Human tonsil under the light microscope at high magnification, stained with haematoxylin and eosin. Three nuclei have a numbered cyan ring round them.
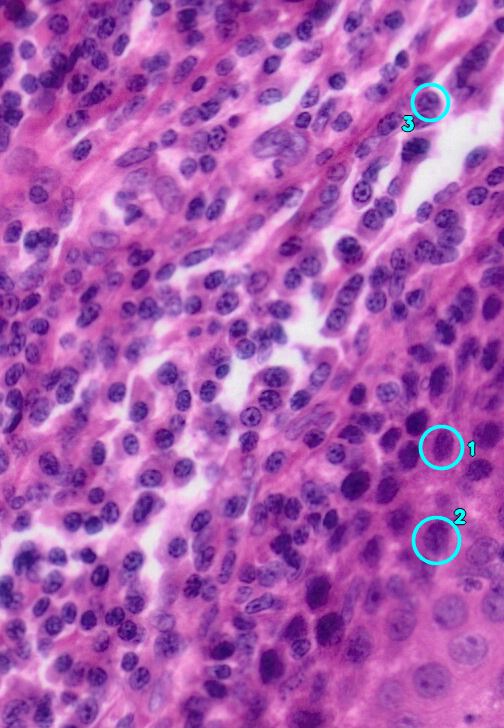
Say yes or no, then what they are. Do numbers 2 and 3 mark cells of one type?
No, listen: cell 2 is a squamous epithelial cell and cell 3 is a plasma cell.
